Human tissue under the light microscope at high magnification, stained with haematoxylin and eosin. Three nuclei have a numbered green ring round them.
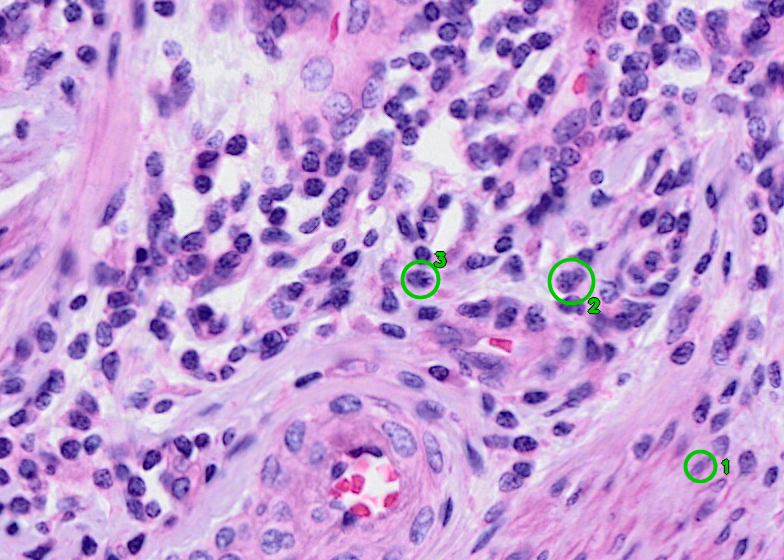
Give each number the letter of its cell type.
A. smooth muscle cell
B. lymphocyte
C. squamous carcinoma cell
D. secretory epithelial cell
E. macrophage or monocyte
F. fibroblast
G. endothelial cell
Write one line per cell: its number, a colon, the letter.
1: A
2: B
3: B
